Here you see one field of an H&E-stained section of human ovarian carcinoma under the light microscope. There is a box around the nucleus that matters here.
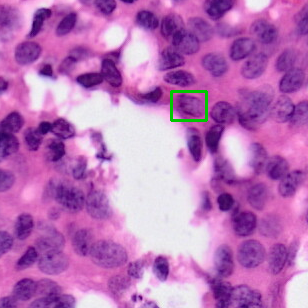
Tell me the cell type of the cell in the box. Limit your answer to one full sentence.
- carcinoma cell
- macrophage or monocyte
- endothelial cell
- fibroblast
The identity of the cell in the box is that of an endothelial cell.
